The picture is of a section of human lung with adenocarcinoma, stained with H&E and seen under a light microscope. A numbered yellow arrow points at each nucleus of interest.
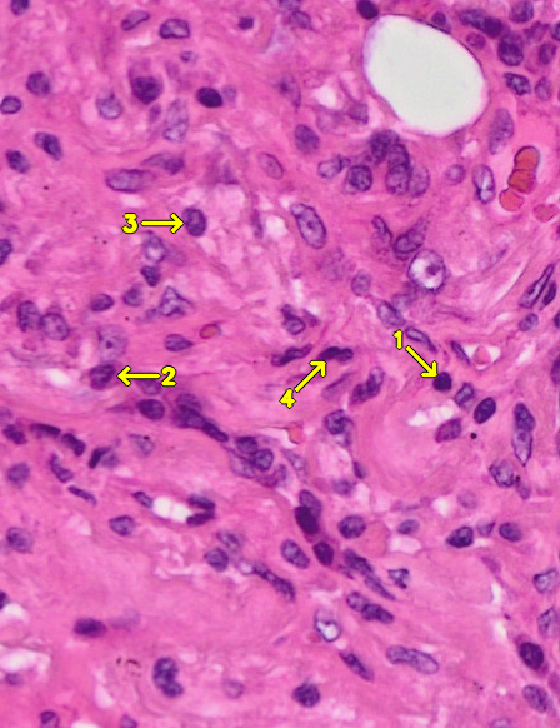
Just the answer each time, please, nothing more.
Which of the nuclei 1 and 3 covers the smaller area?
1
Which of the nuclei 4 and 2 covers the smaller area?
4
